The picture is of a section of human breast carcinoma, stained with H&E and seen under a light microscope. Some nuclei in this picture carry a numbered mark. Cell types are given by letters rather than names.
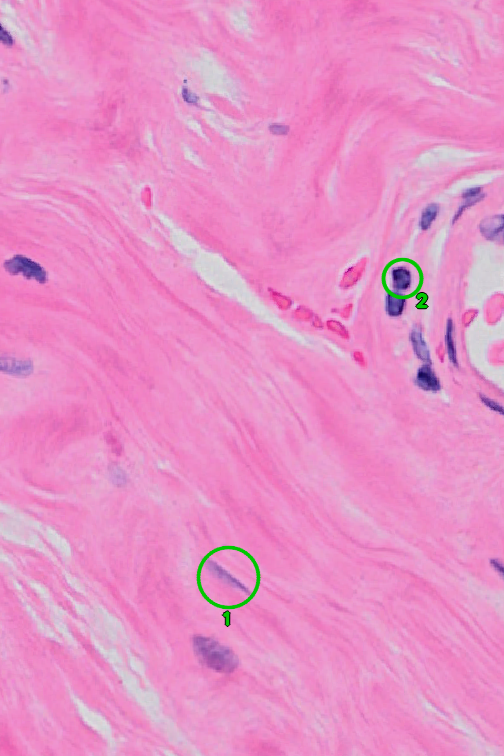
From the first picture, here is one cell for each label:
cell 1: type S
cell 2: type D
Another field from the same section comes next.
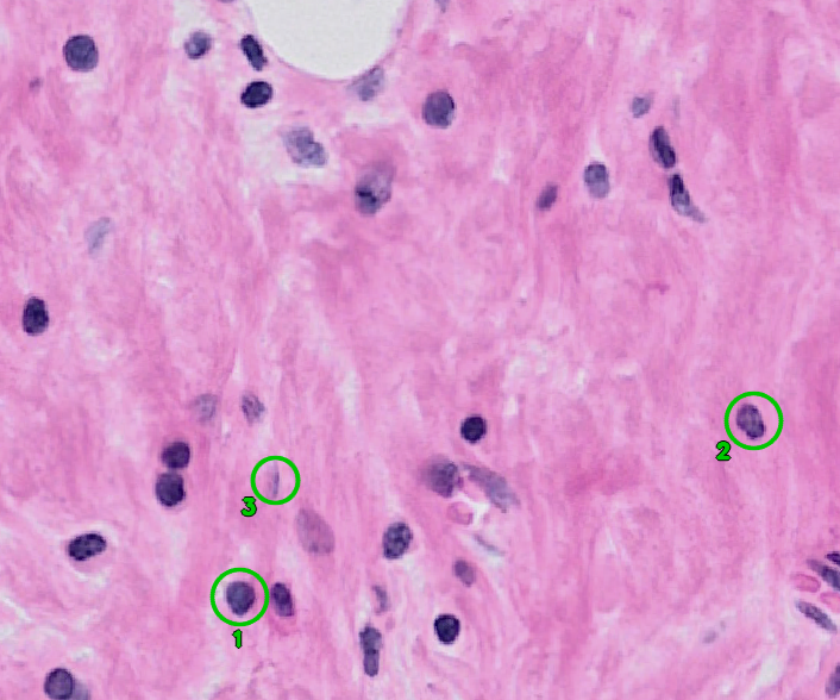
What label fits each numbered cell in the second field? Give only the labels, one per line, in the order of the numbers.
type D
type D
type S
